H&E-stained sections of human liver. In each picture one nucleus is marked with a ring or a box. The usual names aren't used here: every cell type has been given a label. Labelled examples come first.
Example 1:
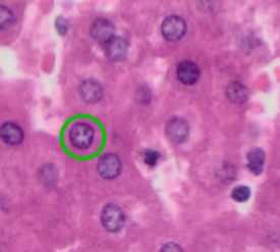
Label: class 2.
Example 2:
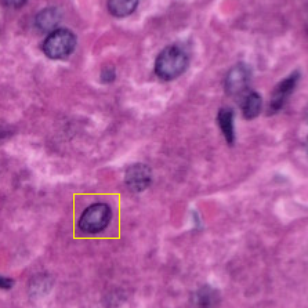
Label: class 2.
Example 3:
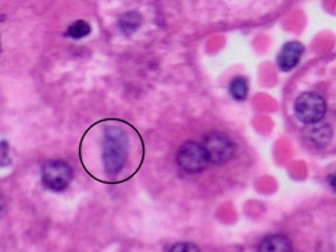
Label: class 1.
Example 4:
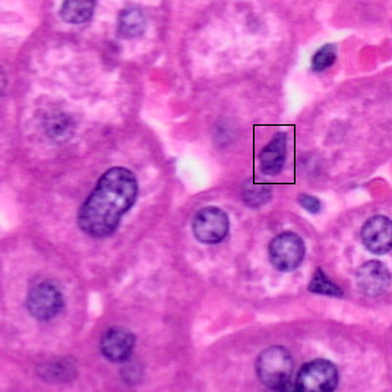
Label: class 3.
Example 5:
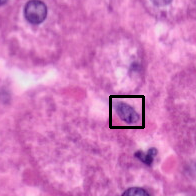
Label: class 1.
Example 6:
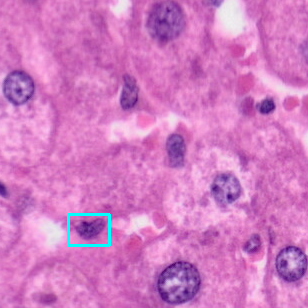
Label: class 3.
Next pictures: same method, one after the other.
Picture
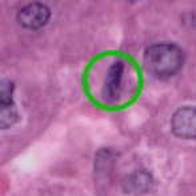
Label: class 3.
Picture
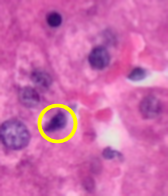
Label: class 3.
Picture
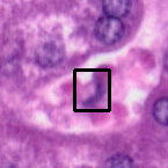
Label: class 1.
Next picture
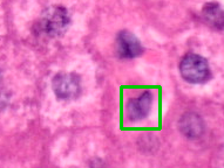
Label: class 1.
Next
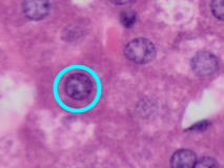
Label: class 2.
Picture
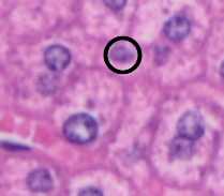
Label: class 1.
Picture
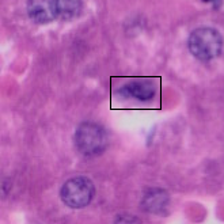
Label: class 1.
